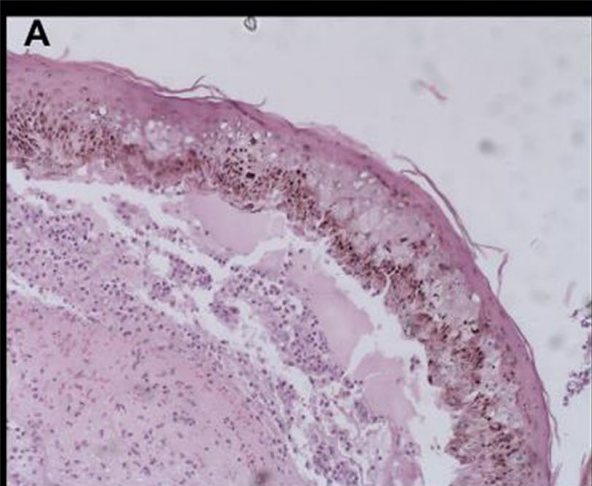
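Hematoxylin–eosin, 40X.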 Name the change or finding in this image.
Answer: Dermal detachment.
